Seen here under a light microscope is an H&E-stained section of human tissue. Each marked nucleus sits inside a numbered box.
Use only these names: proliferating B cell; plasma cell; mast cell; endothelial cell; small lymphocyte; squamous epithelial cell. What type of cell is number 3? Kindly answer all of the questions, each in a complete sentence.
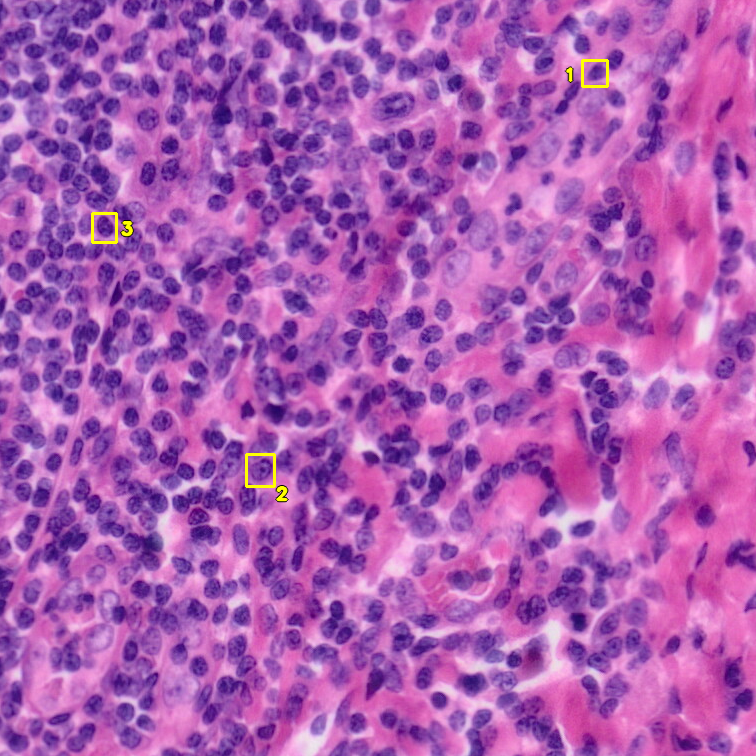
The one numbered 3 among the marked cells is a small lymphocyte.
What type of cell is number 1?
Here the cell numbered 1 is an endothelial cell.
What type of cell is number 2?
That cell with number 2 is a plasma cell.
